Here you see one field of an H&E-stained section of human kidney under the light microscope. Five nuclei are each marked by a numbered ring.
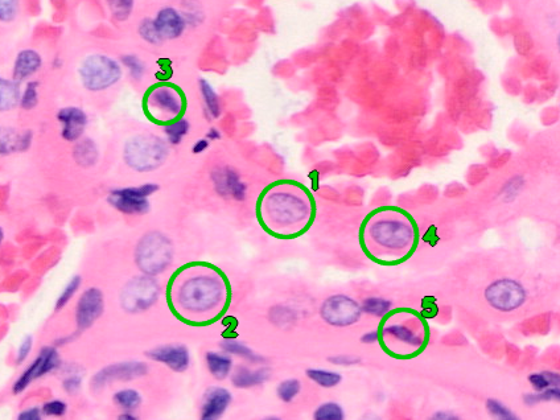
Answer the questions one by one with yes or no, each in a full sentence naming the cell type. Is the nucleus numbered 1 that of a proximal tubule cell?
Yes, the cell with its nucleus marked 1 is a proximal tubule cell.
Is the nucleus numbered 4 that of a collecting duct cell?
No, cell number 4 is a proximal tubule cell; it is not a collecting duct cell.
